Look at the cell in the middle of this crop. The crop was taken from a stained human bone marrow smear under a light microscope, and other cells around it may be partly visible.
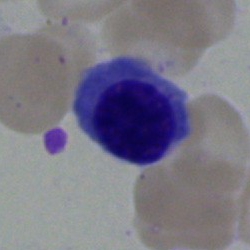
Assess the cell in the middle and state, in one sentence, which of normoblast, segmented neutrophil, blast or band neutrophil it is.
Located at the centre of the crop is a normoblast.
